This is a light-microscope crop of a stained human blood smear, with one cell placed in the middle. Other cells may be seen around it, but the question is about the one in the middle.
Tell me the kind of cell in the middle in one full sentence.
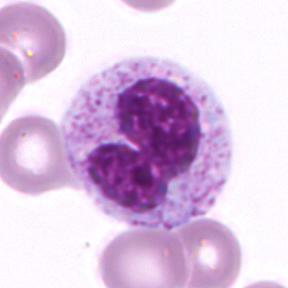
The crop centres on a single cell, and that cell is a band neutrophil.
